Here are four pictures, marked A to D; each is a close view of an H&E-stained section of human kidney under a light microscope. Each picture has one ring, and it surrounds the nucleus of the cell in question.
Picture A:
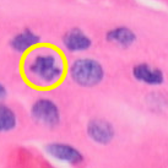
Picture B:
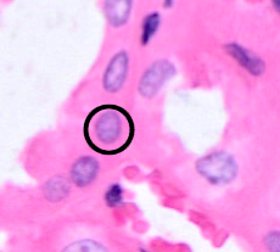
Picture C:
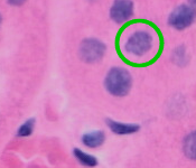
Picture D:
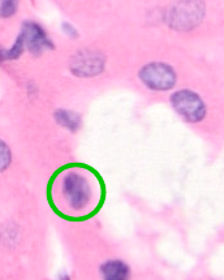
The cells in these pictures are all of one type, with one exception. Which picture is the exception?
B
